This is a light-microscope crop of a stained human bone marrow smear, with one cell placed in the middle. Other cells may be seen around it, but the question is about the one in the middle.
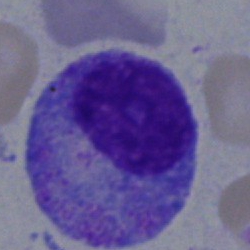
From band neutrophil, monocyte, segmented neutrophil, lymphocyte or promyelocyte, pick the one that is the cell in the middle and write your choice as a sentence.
Whatever else lies nearby, the middle cell is a promyelocyte.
